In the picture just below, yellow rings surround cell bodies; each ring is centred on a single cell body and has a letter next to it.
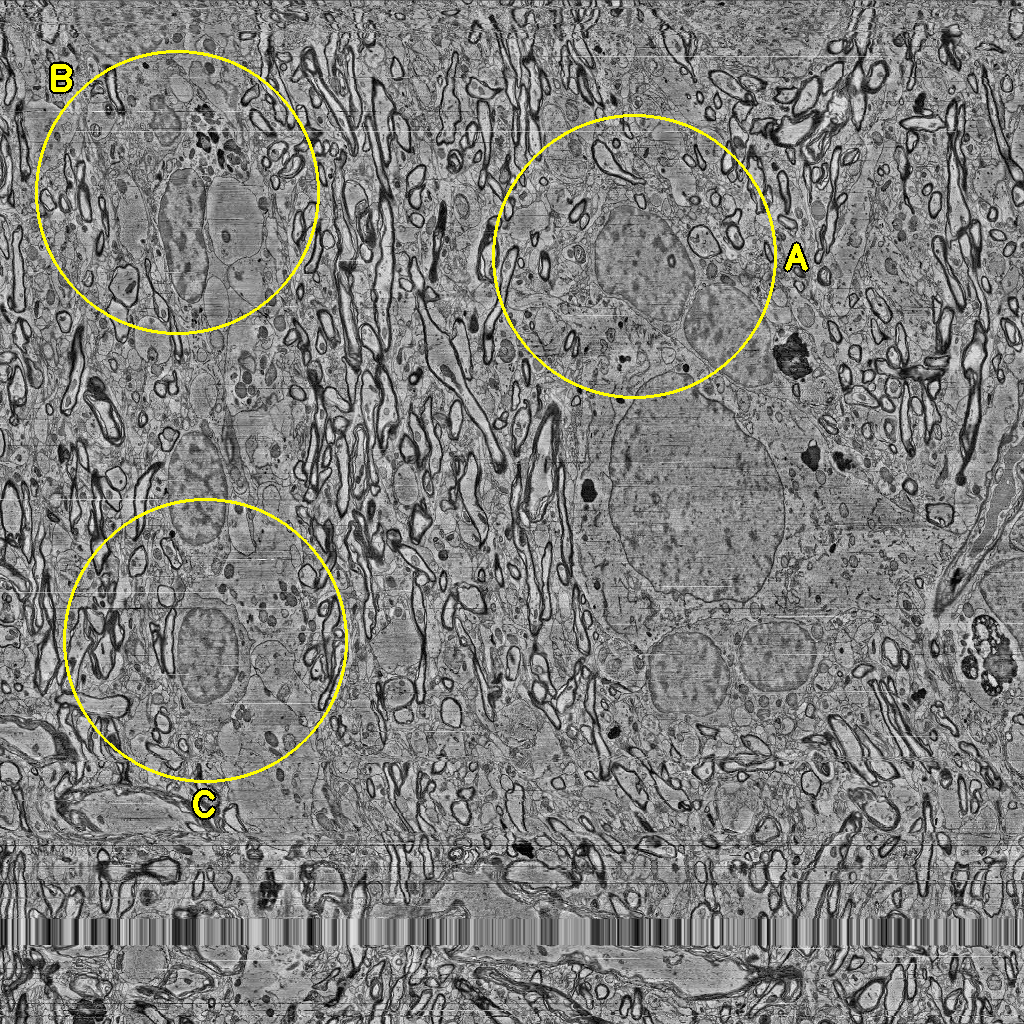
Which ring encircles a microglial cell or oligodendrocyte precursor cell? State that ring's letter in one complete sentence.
The letter B marks the ring centred on the cell asked for in the picture.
